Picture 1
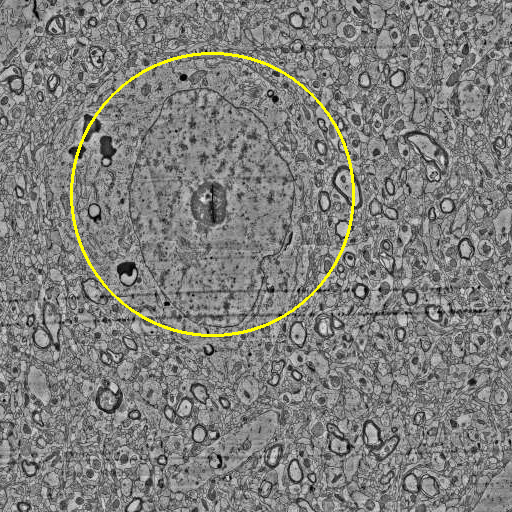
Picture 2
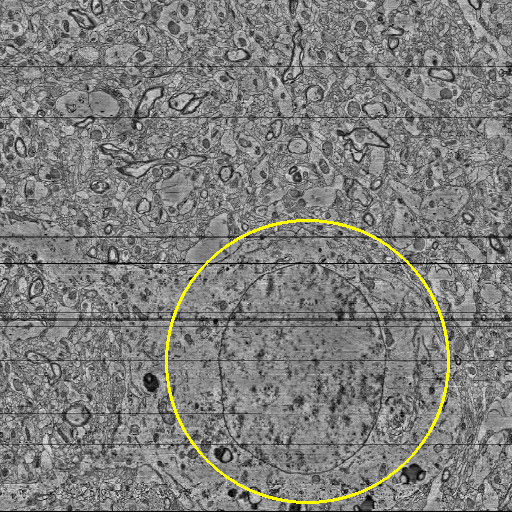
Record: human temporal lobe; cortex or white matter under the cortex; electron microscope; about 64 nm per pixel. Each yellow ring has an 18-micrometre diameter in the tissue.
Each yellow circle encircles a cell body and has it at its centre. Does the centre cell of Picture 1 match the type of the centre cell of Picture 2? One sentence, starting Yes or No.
Yes, the cell centred in Picture 1 and the one in Picture 2 share a type.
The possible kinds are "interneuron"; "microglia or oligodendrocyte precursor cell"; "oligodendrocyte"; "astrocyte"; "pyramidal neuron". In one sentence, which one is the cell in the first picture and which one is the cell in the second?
Each of the two cells is a pyramidal neuron.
